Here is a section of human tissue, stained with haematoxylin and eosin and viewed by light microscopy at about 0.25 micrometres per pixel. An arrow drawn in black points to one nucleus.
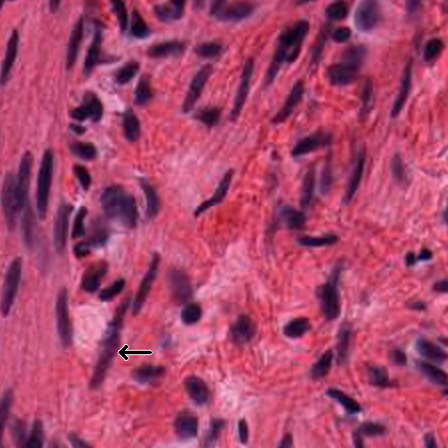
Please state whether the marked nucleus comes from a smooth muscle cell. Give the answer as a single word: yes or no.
yes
